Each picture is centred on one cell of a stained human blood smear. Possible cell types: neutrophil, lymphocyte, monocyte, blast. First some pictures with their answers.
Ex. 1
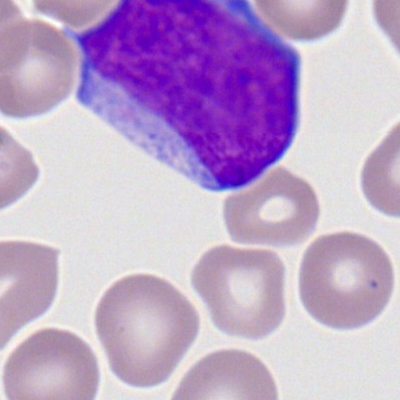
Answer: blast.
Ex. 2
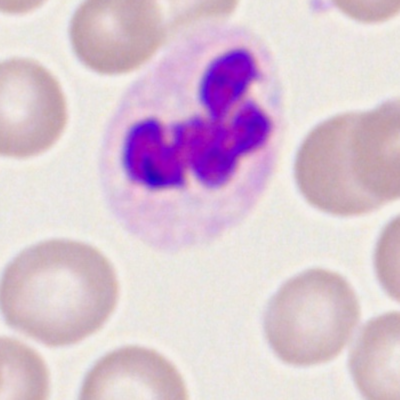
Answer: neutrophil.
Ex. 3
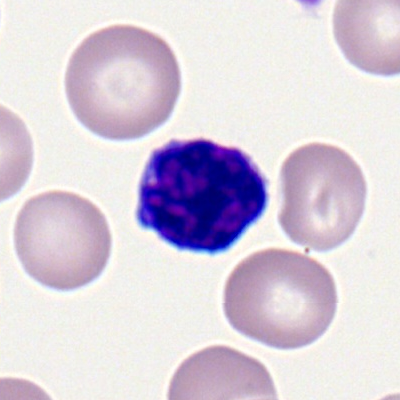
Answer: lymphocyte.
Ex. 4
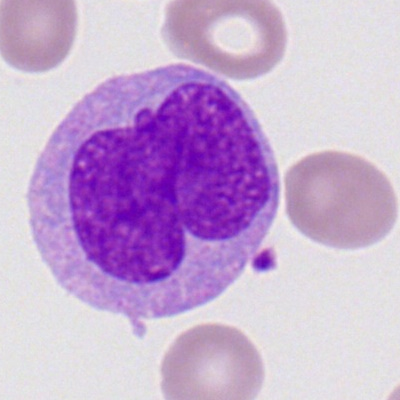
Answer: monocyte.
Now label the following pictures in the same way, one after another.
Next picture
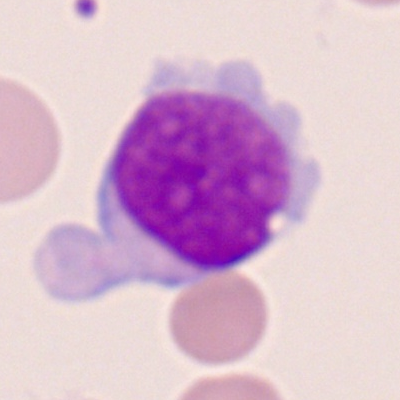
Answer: blast.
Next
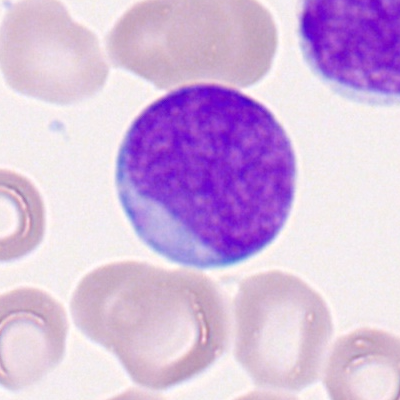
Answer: blast.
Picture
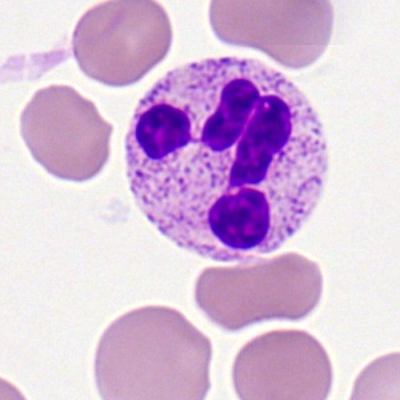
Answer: neutrophil.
